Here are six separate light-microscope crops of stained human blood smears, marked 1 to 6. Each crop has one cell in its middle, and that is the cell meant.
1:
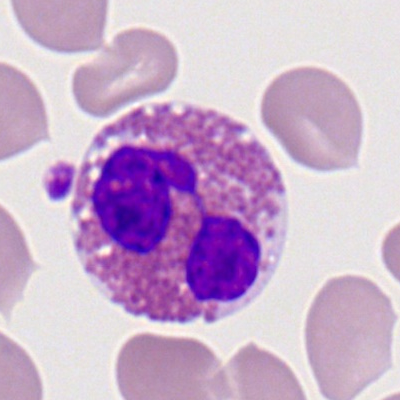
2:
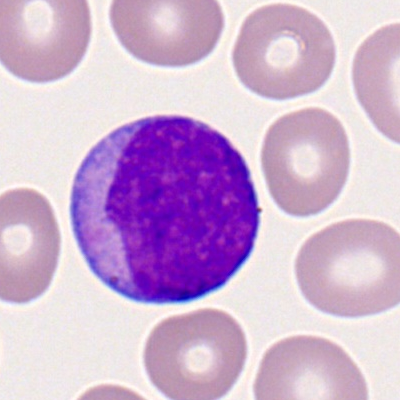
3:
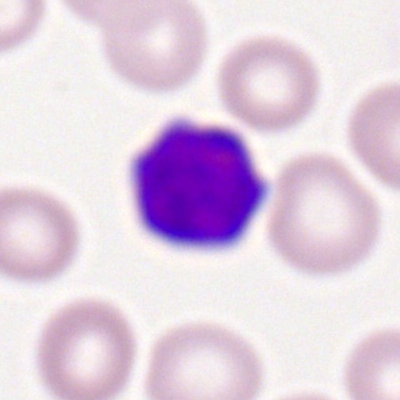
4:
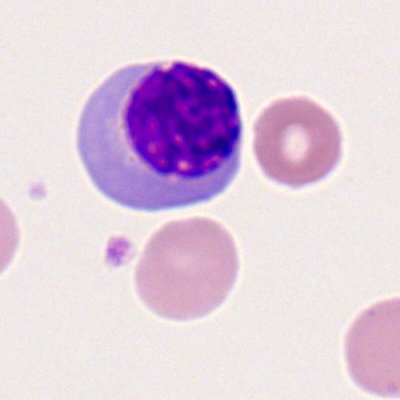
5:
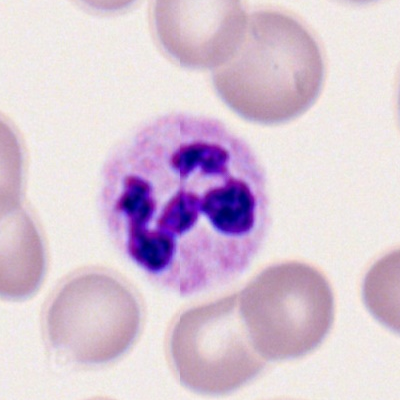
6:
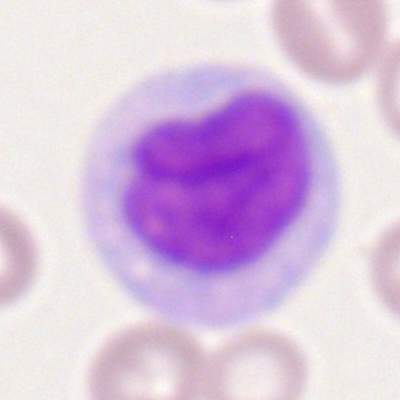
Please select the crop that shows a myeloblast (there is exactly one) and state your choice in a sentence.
The correct choice is crop 2, the one showing a myeloblast.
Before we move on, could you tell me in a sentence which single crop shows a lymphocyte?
Of these crops, it is crop 3 that shows a lymphocyte.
